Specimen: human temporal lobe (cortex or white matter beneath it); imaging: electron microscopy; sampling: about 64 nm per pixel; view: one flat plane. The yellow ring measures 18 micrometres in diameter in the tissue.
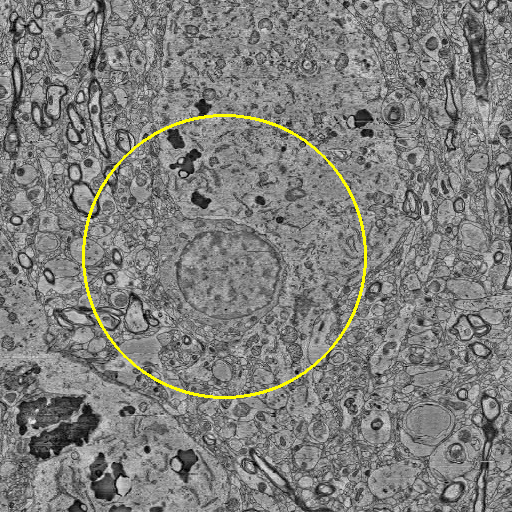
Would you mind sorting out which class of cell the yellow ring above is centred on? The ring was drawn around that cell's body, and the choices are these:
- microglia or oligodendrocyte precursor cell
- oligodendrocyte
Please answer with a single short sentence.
This is the cell body of an oligodendrocyte.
